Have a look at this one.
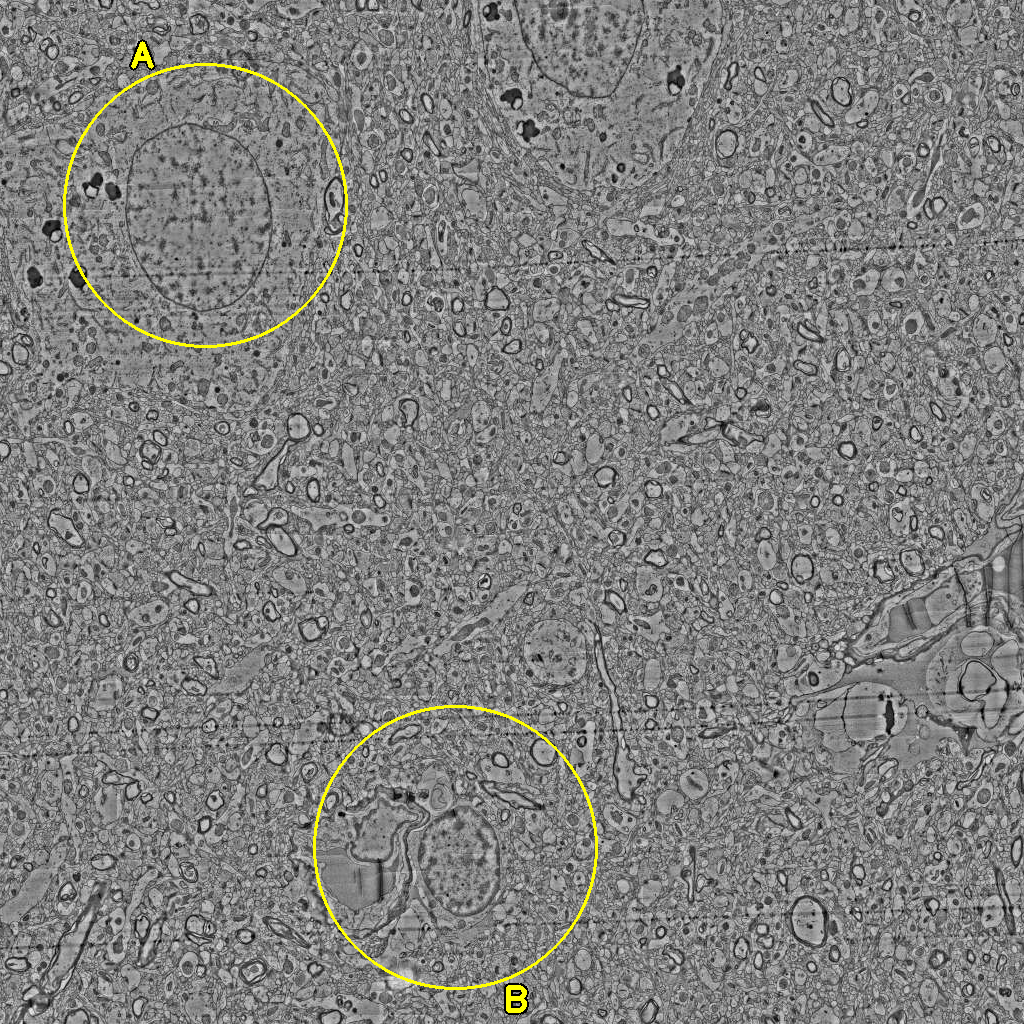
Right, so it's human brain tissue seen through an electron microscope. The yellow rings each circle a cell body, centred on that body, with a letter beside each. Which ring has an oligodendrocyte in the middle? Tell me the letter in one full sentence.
That kind of cell is sitting in the middle of ring B there.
